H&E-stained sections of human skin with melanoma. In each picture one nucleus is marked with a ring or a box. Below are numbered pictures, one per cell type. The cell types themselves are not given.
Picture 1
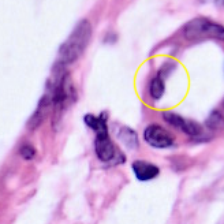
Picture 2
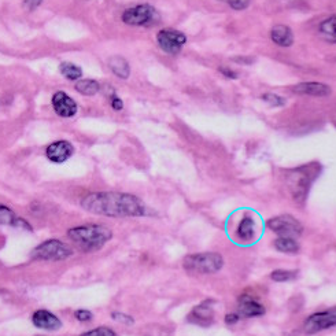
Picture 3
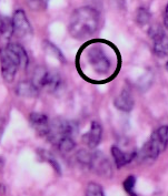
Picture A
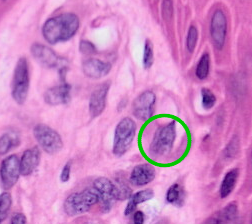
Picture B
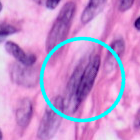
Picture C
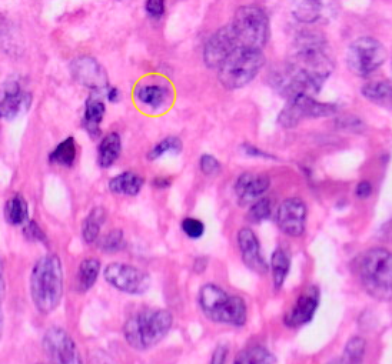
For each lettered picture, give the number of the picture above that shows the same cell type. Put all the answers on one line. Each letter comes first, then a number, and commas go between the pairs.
A 1, B 1, C 2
